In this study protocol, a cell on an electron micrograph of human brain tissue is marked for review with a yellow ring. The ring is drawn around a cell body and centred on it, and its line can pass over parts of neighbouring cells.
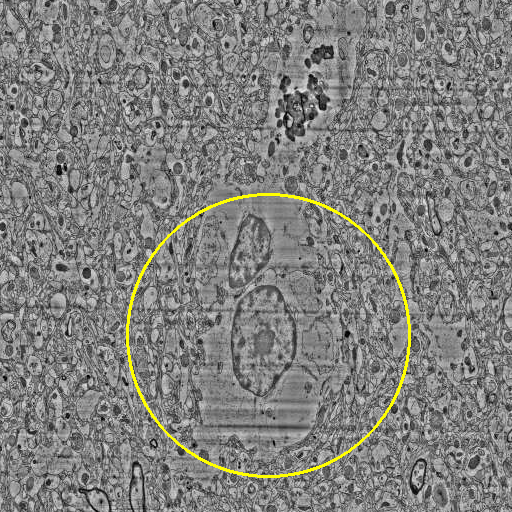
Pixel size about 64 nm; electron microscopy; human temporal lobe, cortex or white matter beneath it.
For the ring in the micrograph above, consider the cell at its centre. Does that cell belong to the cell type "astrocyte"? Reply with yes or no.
yes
